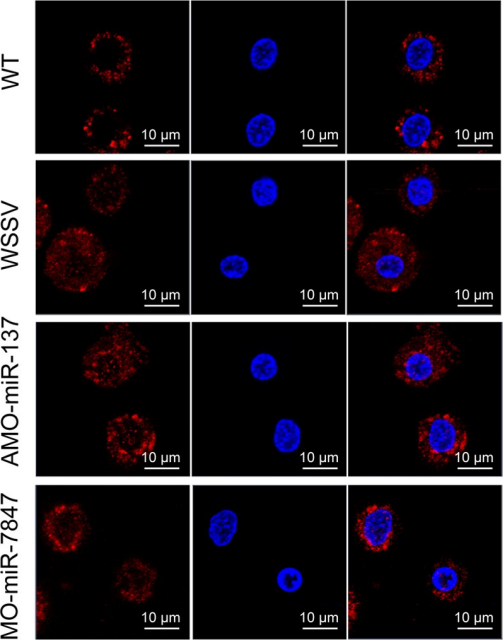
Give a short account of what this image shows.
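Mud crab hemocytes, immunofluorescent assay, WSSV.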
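Around the nucleus lies a rim of cytoplasm filled with fine red granules and dots. In the overlaid images the red speckles crowd the cytoplasm, and in some cells they also lie over the blue nucleus. The cells lie apart from one another, with dark space between them.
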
